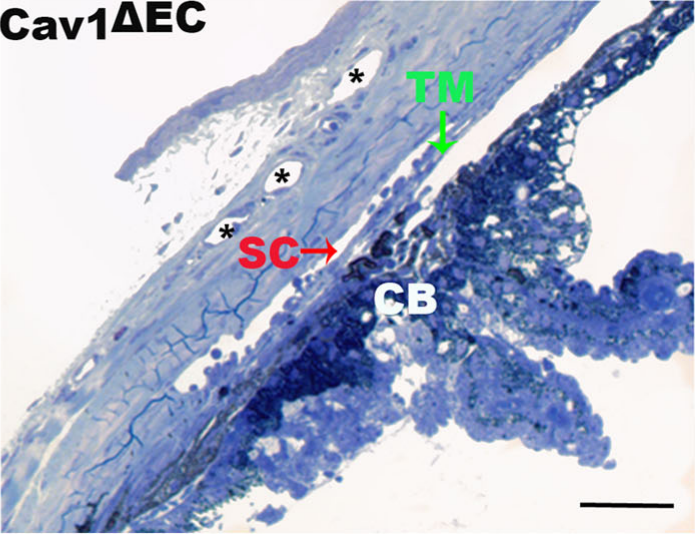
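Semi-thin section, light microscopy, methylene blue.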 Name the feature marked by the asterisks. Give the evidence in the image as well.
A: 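Each asterisk sits in a small clear oval lumen. The lumens lie in a row within the pale blue outer wall tissue. So: Distal vessels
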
